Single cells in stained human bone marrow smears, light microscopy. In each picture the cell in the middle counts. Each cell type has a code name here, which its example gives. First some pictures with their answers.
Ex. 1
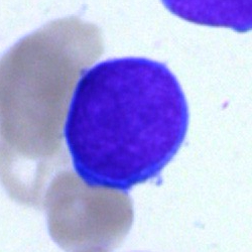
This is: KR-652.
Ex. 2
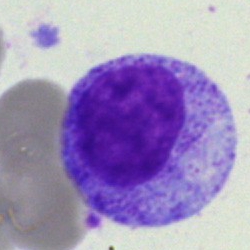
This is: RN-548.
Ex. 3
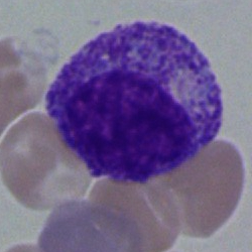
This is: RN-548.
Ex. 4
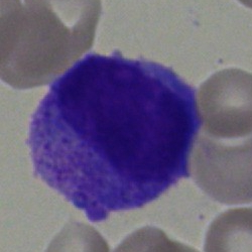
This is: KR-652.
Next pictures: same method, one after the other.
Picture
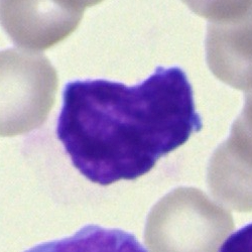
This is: KR-652.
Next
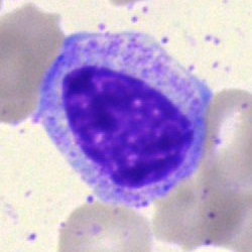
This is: RN-548.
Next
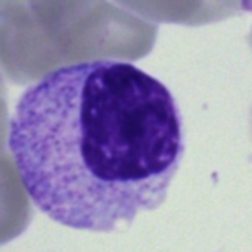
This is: RN-548.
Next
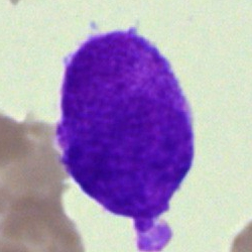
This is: KR-652.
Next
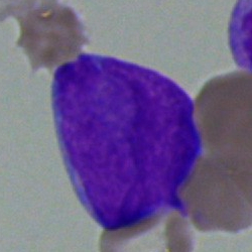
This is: KR-652.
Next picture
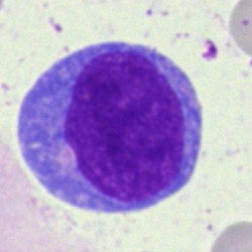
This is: KR-652.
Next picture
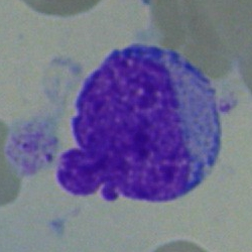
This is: KR-652.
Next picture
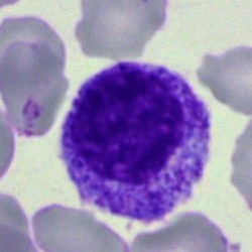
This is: RN-548.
